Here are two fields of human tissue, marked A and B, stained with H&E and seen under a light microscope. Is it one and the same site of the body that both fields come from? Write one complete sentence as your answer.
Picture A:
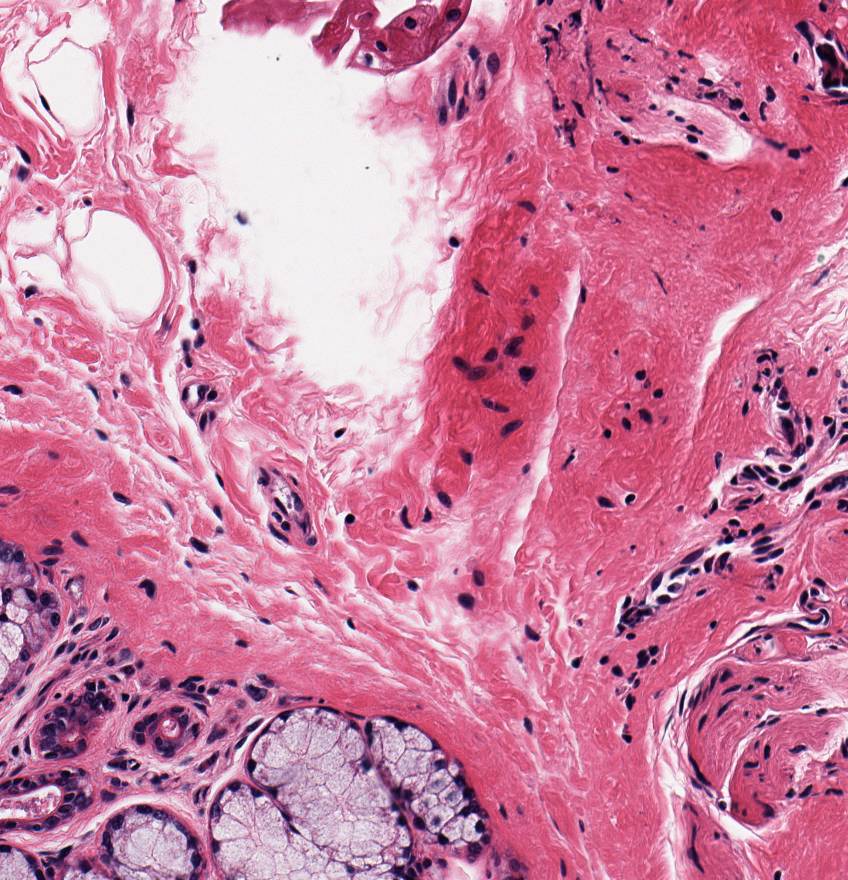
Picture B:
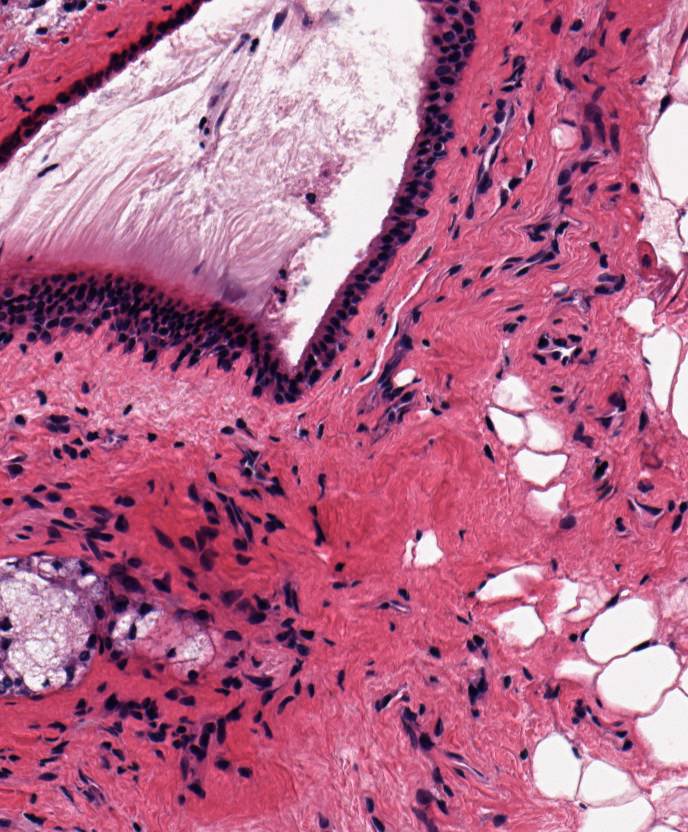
Yes, both come from a minor salivary gland.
